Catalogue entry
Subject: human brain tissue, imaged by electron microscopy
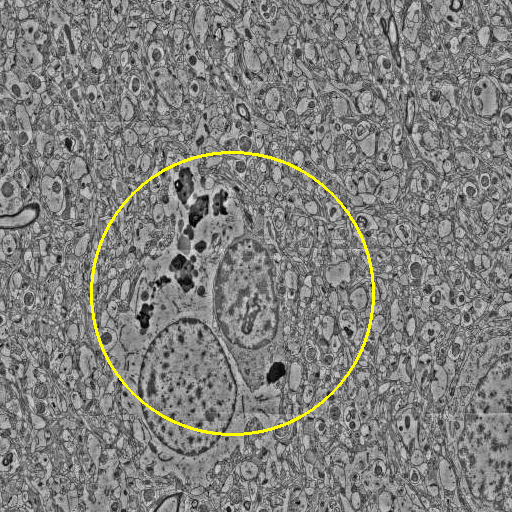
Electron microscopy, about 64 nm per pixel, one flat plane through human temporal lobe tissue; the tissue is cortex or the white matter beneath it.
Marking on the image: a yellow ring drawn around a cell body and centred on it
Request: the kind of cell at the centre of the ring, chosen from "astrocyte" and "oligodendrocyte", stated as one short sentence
The ring has an oligodendrocyte at its centre.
